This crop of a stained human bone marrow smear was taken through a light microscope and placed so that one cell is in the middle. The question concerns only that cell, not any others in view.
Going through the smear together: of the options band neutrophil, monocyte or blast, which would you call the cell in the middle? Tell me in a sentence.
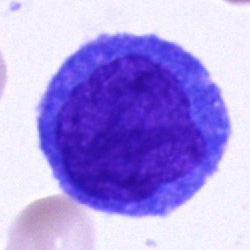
The cell at the centre of the field is a blast.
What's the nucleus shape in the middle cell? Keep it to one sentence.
If you check the nucleus, you will find one compact mass, round, oval or kidney-shaped.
